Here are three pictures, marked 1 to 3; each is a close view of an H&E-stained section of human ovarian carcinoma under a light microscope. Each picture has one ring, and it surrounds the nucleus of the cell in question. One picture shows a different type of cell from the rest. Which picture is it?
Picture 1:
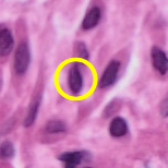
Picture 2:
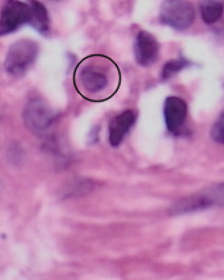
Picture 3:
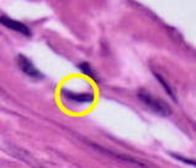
2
